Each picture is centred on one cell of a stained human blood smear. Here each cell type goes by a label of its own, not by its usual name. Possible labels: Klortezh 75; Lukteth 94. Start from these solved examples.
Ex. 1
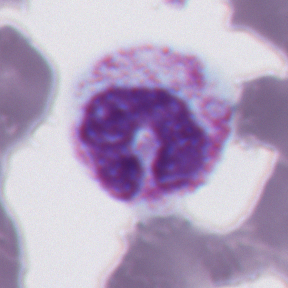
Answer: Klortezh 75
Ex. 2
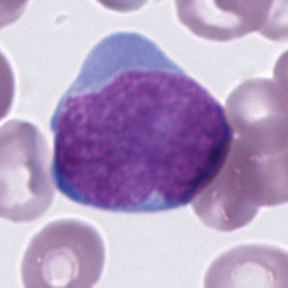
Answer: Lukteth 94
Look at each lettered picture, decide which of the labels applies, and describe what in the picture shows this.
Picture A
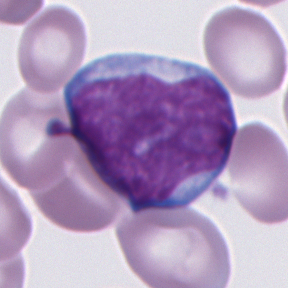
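Lukteth 94. Reason: The cytoplasm is blue and darkest along the cell's outer border.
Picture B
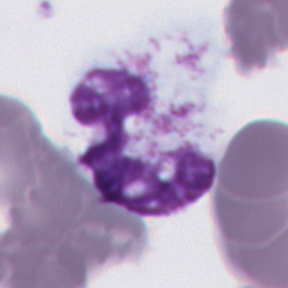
Klortezh 75. Reason: The cytoplasm is pale and nearly colourless, lying mostly to the upper right of the nucleus.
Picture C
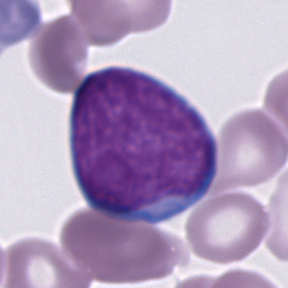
Lukteth 94. Reason: The nucleus fills almost the whole cell.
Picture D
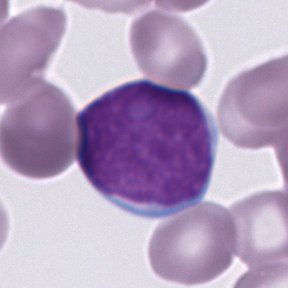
Lukteth 94. Reason: The cytoplasm forms only a thin rim around the nucleus.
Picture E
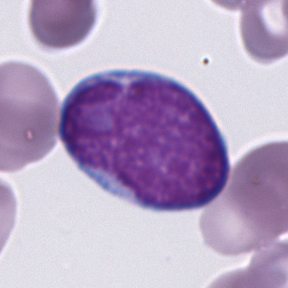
Lukteth 94. Reason: The blue cytoplasm forms a thin rim that is widest at the lower left.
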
